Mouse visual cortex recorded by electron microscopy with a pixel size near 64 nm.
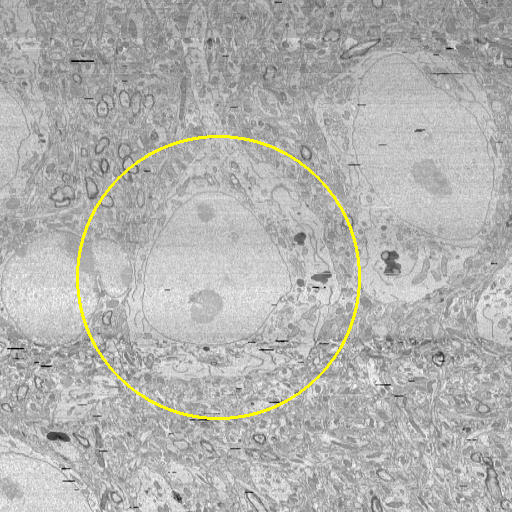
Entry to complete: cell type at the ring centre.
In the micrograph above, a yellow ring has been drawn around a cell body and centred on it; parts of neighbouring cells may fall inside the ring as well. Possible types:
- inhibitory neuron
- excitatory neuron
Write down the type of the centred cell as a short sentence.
The ring is centred on an excitatory neuron.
